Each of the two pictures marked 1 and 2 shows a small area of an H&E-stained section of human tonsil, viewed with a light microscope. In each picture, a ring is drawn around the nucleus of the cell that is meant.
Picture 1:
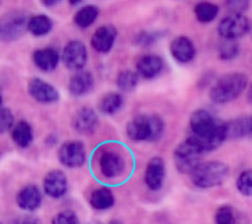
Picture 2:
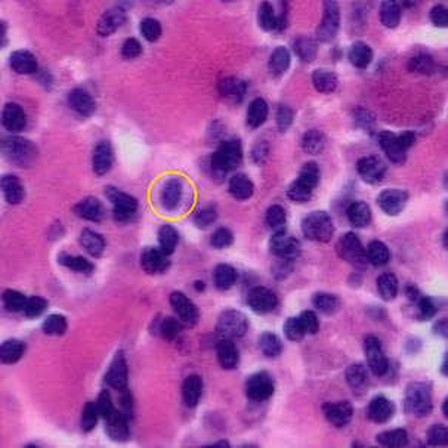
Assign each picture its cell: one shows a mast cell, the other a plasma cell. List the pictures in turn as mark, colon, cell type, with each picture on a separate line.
1: plasma cell
2: mast cell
